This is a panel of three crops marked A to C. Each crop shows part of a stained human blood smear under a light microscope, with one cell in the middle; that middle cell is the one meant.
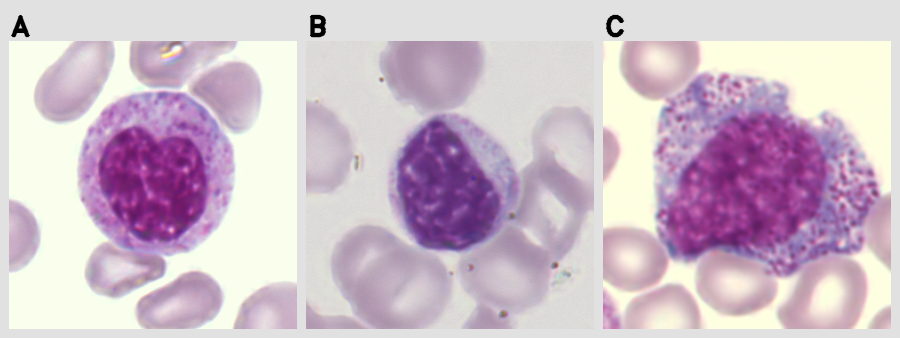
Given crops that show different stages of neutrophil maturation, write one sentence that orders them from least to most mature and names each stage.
From lowest to highest maturity, the crops run crop C (a promyelocyte), crop A (a myelocyte) and crop B (a metamyelocyte).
